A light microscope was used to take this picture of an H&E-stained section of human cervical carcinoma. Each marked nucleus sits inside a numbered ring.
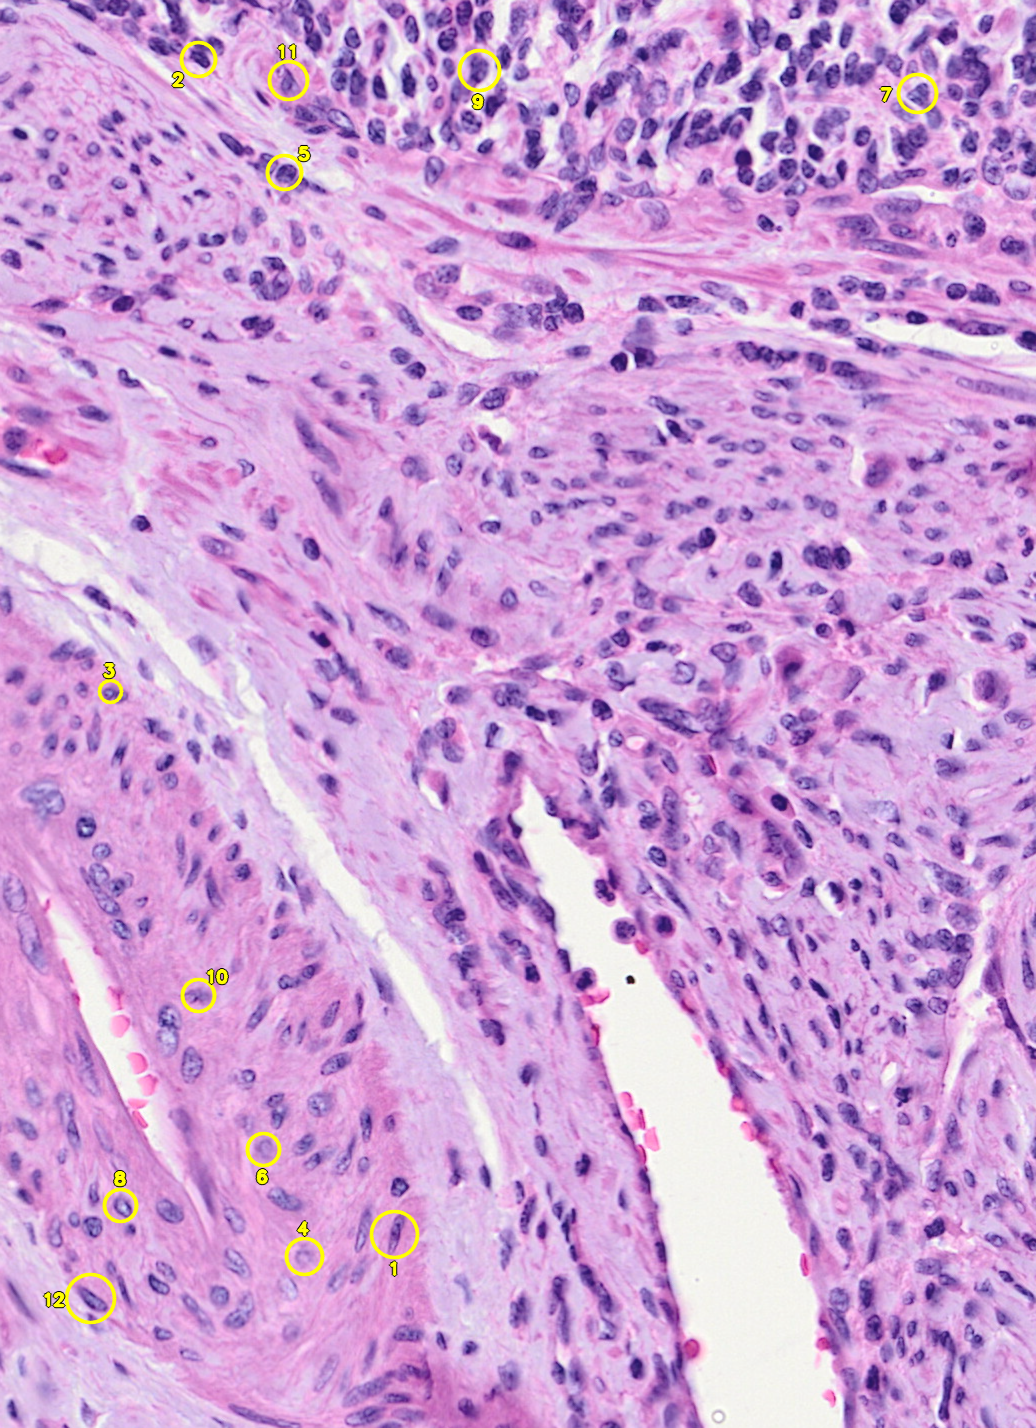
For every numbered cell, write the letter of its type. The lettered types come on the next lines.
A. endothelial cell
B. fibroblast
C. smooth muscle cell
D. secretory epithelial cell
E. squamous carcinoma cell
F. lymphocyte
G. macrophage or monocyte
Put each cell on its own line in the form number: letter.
1: C
2: F
3: C
4: C
5: F
6: C
7: F
8: C
9: F
10: C
11: A
12: C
